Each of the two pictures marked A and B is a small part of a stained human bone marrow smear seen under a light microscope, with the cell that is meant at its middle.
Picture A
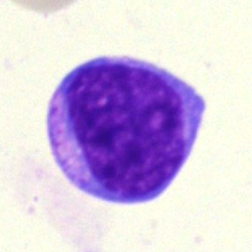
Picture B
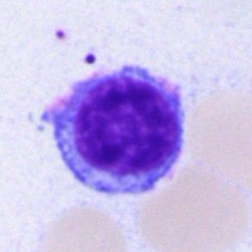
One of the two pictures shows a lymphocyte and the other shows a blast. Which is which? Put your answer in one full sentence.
In picture A the cell is a blast; in picture B, a lymphocyte.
